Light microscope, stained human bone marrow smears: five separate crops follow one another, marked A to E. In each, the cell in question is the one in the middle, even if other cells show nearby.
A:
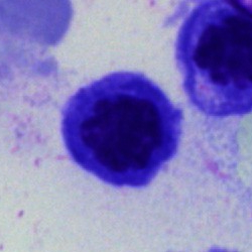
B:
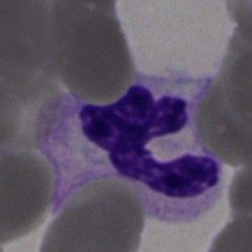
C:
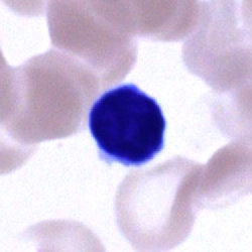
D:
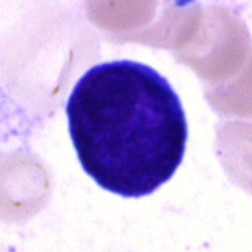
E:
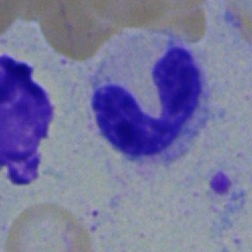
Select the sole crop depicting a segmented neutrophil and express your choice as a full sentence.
Crop B is the one in the set with a segmented neutrophil at the center.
